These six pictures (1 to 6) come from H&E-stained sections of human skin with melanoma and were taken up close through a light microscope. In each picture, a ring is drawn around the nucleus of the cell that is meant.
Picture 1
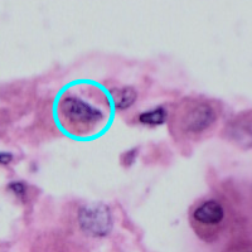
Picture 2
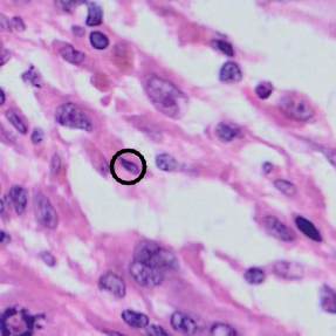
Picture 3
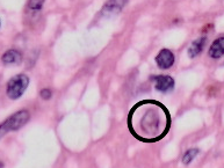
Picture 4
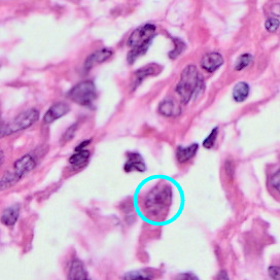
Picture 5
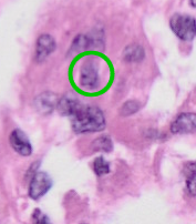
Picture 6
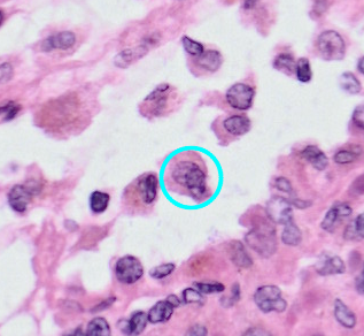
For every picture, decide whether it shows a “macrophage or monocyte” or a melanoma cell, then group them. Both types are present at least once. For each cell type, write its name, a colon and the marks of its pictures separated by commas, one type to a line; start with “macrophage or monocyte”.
macrophage or monocyte: 1, 2, 3, 6
melanoma cell: 4, 5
